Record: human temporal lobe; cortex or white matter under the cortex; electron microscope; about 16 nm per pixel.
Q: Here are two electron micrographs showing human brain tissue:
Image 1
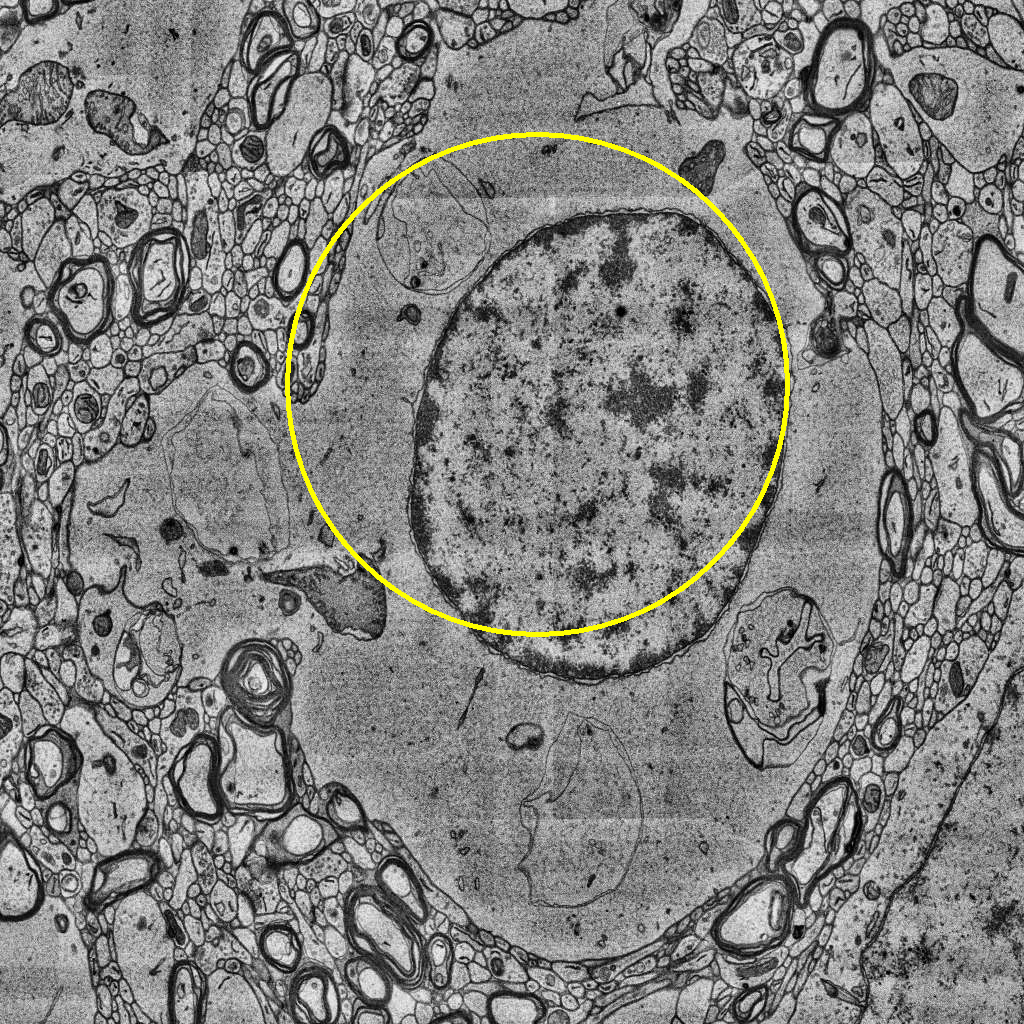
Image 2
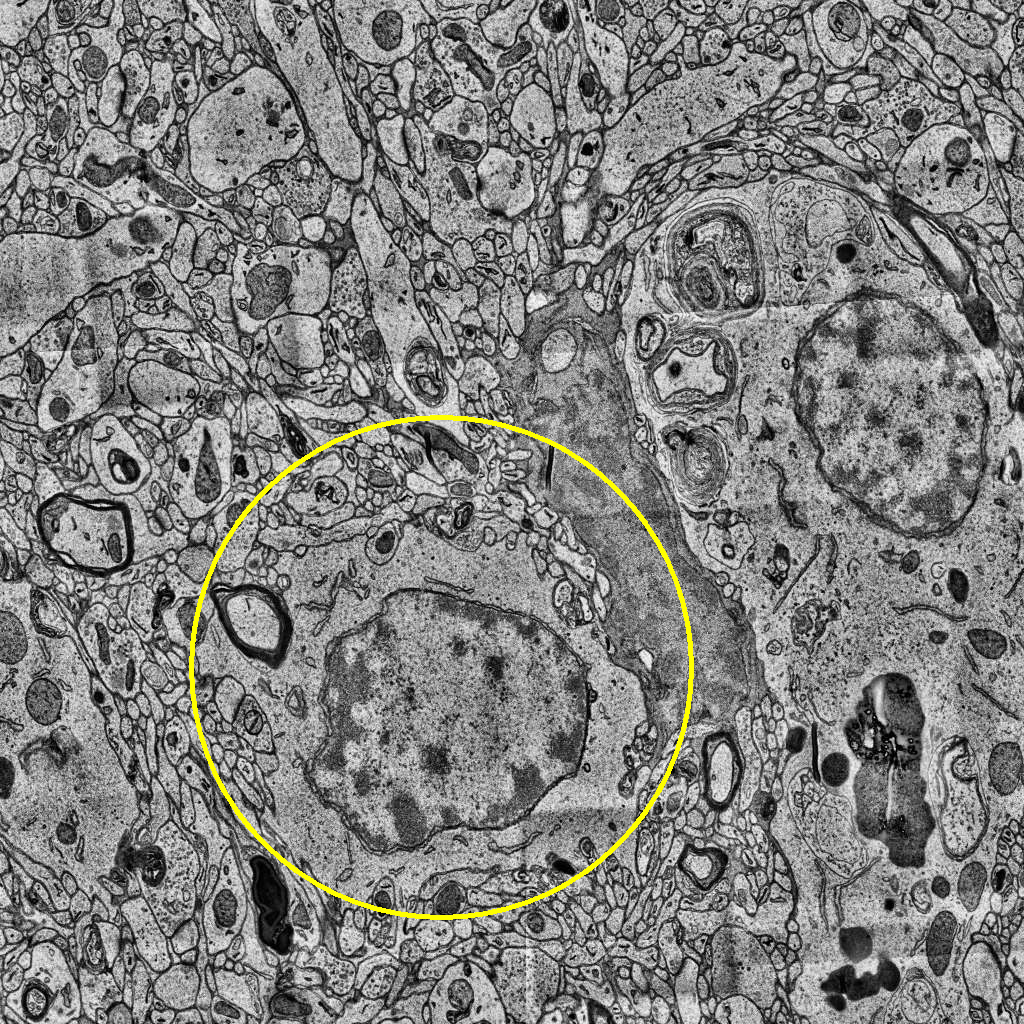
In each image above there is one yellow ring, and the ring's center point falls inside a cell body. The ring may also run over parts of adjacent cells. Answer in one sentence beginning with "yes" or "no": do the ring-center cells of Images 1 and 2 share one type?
Yes, in Images 1 and 2, the ring-center cells are both of one type.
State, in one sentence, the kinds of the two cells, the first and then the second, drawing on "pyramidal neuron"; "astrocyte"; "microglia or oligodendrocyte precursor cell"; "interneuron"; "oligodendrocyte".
Both cells are the same kind, each one being an astrocyte.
